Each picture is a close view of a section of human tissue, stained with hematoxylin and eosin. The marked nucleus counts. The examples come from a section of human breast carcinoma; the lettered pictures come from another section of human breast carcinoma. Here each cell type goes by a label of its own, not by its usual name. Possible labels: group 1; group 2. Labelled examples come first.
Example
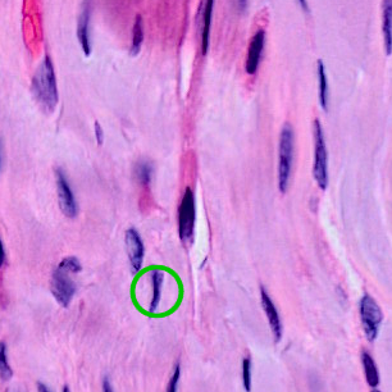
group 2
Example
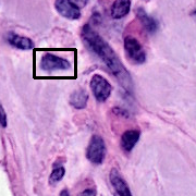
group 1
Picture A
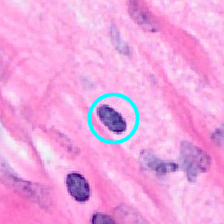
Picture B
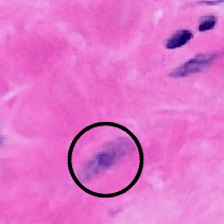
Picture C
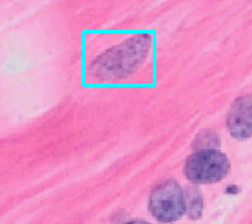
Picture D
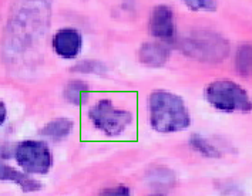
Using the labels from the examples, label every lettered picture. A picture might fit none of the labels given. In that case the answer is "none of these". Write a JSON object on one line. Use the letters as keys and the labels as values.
{"A": "group 1", "B": "group 2", "C": "group 2", "D": "group 1"}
